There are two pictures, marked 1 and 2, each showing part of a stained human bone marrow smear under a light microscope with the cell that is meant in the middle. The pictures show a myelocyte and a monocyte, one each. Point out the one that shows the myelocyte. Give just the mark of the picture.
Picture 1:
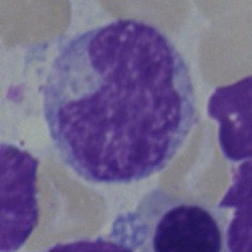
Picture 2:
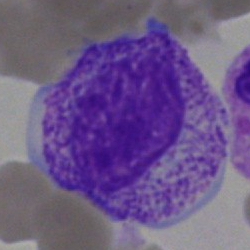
2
